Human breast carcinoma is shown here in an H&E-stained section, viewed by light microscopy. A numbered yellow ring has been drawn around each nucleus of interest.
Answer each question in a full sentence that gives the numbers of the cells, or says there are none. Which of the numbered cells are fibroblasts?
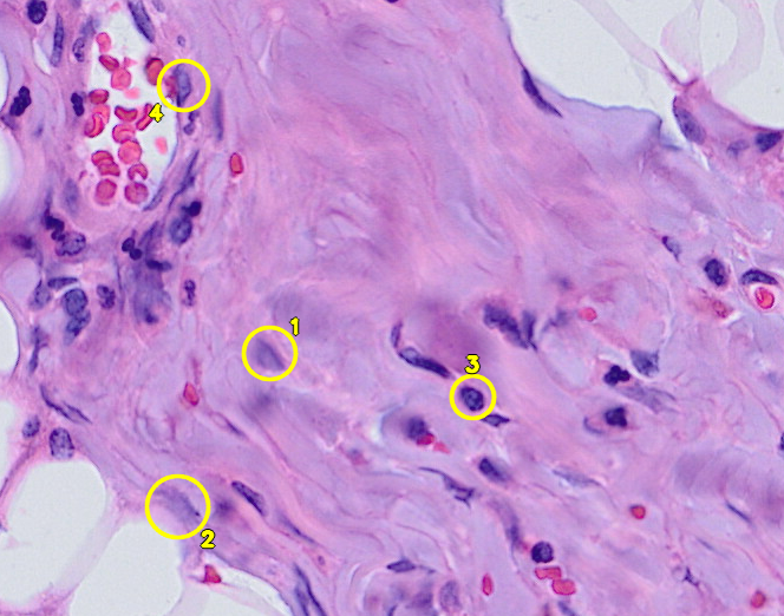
The cells identified by the numbers 1 and 2 are fibroblasts.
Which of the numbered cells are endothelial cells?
Cell 4 is the single numbered cell that is an endothelial cell.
